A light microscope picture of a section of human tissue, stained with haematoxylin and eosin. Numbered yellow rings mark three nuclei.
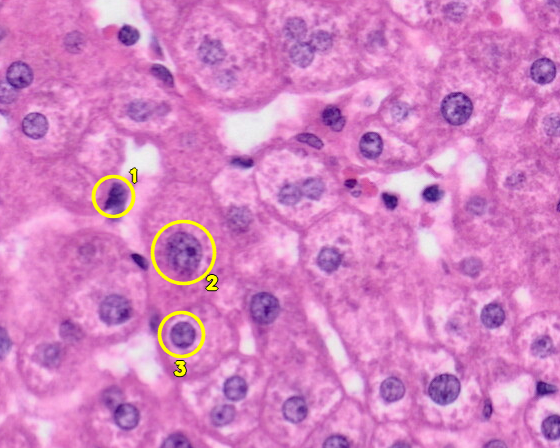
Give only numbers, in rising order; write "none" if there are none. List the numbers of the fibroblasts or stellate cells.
1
